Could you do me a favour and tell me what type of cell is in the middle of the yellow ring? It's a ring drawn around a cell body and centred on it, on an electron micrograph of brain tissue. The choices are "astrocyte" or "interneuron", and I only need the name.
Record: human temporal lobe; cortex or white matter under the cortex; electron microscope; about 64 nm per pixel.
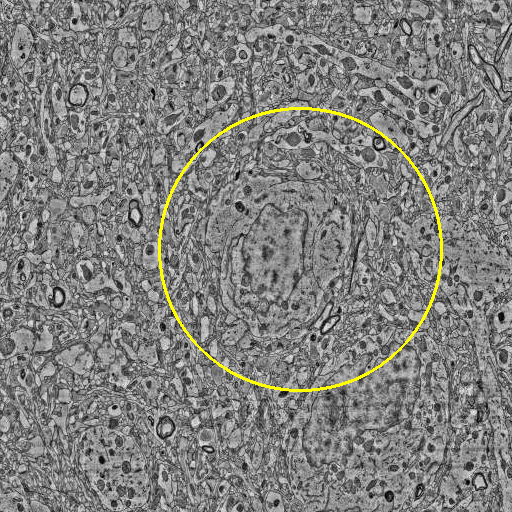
interneuron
